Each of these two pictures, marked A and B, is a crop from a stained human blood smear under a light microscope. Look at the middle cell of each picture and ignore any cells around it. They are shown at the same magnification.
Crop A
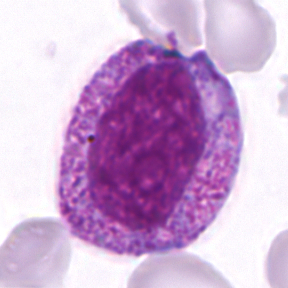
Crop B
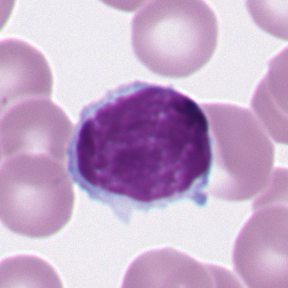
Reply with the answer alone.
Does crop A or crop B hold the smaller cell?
B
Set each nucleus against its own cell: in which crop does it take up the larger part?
B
